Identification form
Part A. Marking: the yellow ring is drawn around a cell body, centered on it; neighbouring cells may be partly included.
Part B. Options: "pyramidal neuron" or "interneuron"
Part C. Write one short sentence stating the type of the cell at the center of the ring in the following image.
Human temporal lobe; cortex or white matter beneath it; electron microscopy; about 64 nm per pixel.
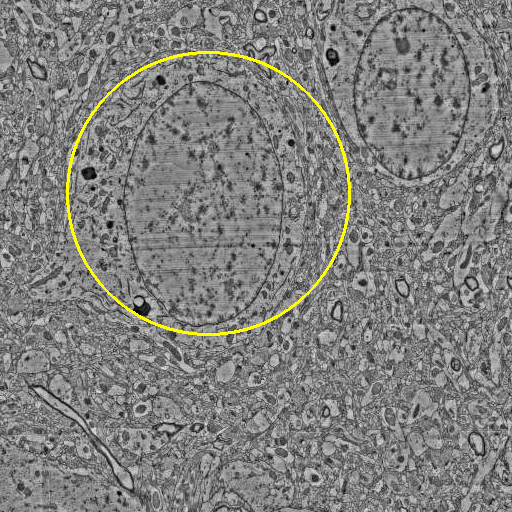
The center of the ring holds a pyramidal neuron.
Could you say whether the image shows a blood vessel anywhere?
No, no vessel appears in the picture.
